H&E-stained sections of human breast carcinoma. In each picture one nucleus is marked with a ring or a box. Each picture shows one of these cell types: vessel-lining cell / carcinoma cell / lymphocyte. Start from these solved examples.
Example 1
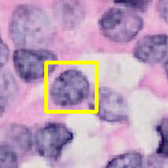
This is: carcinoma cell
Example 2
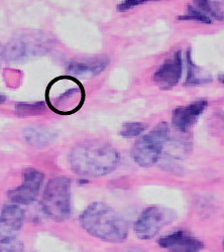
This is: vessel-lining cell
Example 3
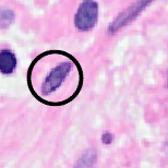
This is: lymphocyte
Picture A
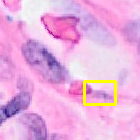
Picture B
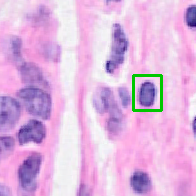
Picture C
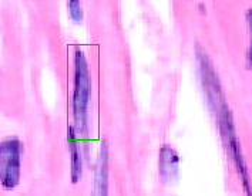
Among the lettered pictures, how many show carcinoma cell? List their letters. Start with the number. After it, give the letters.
0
